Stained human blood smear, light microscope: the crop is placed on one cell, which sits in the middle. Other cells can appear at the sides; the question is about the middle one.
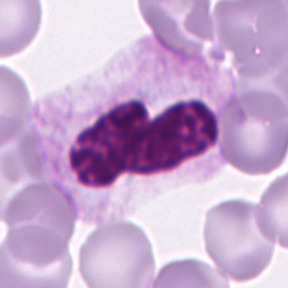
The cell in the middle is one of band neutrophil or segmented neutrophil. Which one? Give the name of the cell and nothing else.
segmented neutrophil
